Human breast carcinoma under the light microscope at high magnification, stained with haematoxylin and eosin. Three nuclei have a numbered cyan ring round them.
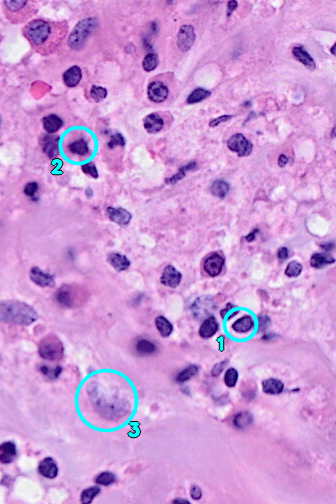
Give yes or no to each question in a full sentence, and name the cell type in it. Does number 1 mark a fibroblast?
No, as for cell 1, it is a lymphocyte and not a fibroblast.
